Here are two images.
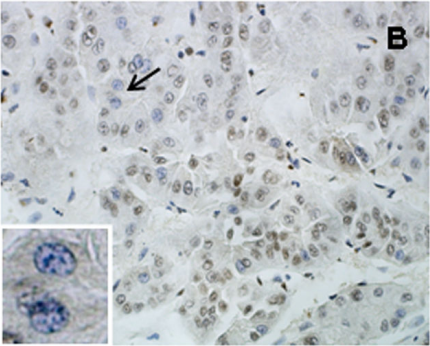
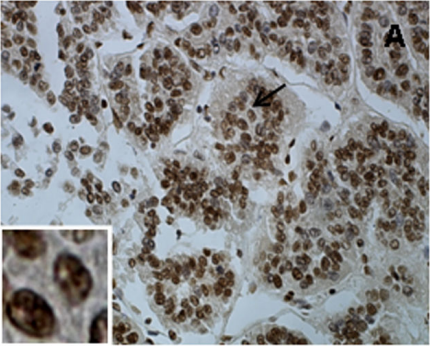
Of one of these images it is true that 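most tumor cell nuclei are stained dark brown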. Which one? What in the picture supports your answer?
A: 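First image: most nuclei of the large tumor cells are pale, blue or only faintly brown. Second image: nearly all nuclei of the tumor cells are dark brown.
Hence: the second image.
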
